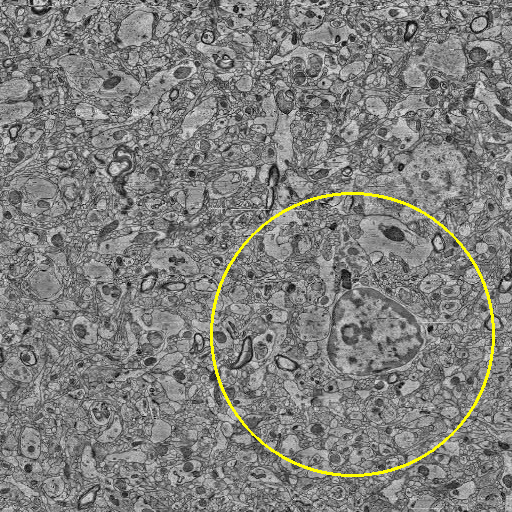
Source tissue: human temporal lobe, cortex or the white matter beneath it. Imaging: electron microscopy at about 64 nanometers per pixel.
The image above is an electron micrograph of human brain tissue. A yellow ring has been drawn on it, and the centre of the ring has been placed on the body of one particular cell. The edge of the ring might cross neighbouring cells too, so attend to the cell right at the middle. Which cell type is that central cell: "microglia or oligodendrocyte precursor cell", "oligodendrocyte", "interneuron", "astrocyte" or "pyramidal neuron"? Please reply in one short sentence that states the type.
The central cell in the ring is a microglial cell or oligodendrocyte precursor cell.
